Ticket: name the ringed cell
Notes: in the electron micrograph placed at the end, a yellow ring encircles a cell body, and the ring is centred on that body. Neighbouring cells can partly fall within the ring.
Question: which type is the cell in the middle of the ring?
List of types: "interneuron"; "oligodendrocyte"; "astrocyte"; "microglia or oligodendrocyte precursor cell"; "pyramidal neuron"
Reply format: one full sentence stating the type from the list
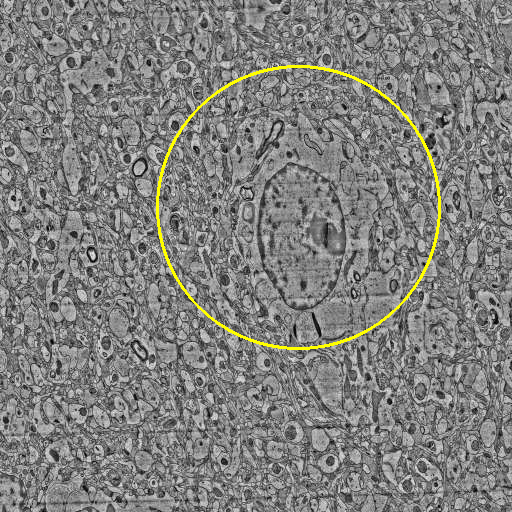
The cell sitting at the centre of the yellow ring is an astrocyte.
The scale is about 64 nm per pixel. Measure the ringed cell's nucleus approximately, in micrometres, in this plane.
At approximately 9 by 6 micrometres, the nucleus is clearly longer than it is wide in this plane.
